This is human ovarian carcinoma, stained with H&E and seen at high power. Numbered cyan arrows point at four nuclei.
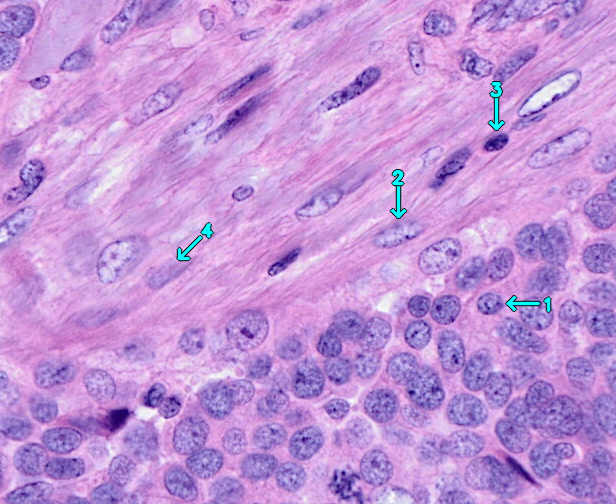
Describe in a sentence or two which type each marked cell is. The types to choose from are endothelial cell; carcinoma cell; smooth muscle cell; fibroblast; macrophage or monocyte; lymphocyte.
Cell 1 is a macrophage or monocyte. Cells 2 and 4 are fibroblasts. Cell 3 is a lymphocyte.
